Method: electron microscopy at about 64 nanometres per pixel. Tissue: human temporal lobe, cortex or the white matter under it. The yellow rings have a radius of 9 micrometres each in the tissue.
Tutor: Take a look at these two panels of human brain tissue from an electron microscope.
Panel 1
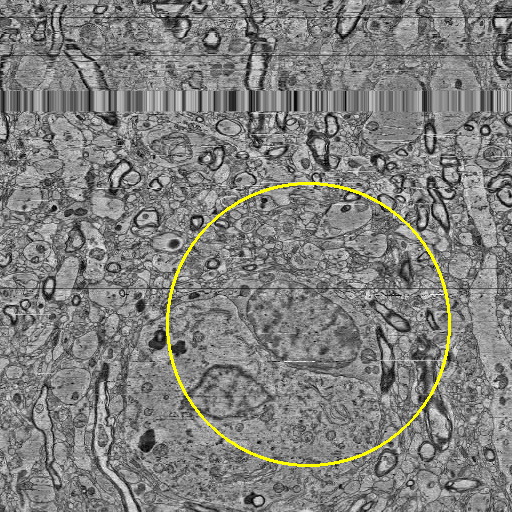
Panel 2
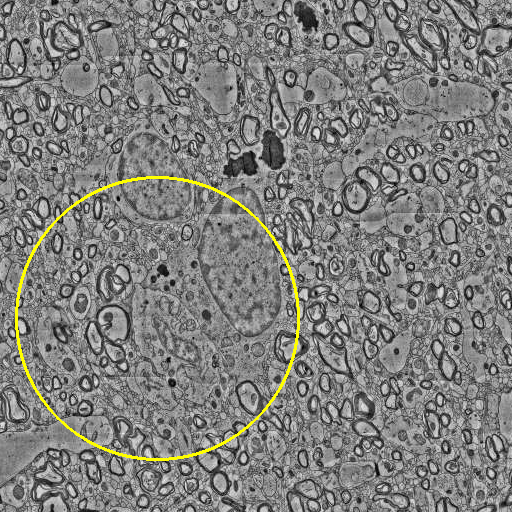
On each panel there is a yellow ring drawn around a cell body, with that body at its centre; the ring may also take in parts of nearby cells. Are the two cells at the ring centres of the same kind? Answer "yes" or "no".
no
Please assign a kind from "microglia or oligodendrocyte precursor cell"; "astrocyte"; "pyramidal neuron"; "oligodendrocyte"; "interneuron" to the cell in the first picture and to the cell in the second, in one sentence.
In the first picture we have an oligodendrocyte, and in the second, an interneuron.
